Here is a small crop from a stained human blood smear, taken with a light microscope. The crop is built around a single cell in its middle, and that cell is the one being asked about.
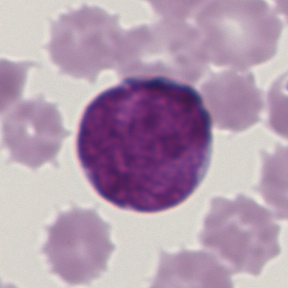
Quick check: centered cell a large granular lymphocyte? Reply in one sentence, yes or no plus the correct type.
No, the centred cell is a myeloblast instead of a large granular lymphocyte.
